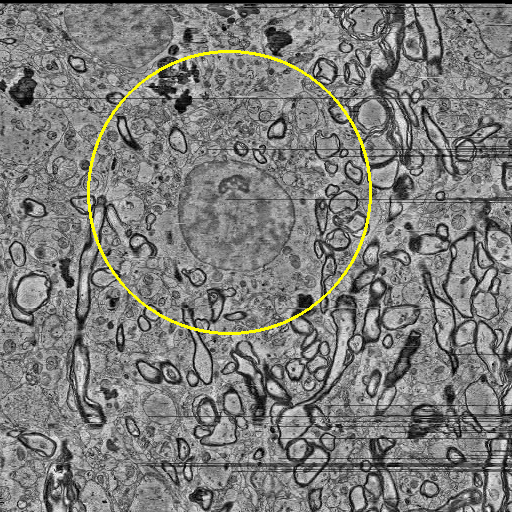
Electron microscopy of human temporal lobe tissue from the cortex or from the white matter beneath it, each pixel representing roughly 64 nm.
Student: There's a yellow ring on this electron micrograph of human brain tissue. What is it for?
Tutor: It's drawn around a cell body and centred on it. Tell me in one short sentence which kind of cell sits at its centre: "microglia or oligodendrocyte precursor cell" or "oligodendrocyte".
The cell at the centre of the ring is an oligodendrocyte.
